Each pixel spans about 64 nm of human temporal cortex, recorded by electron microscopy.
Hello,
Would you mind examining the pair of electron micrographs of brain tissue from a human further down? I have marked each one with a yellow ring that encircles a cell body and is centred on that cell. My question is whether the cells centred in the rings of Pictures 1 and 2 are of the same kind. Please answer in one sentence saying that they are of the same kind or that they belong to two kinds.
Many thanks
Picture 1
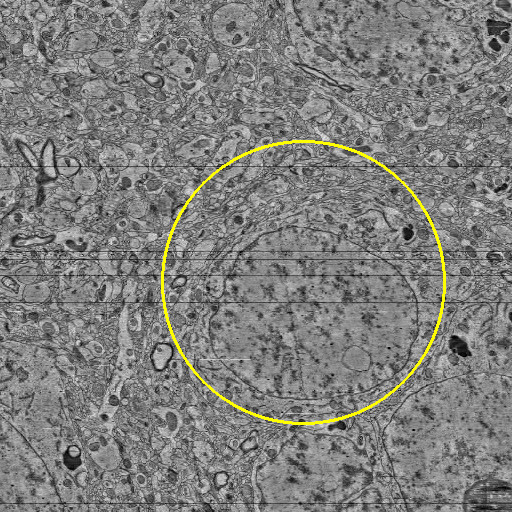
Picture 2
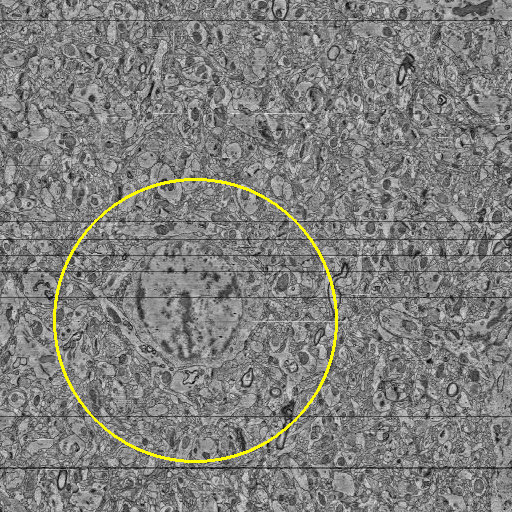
In Pictures 1 and 2, the cells at the heart of the rings belong to two kinds.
